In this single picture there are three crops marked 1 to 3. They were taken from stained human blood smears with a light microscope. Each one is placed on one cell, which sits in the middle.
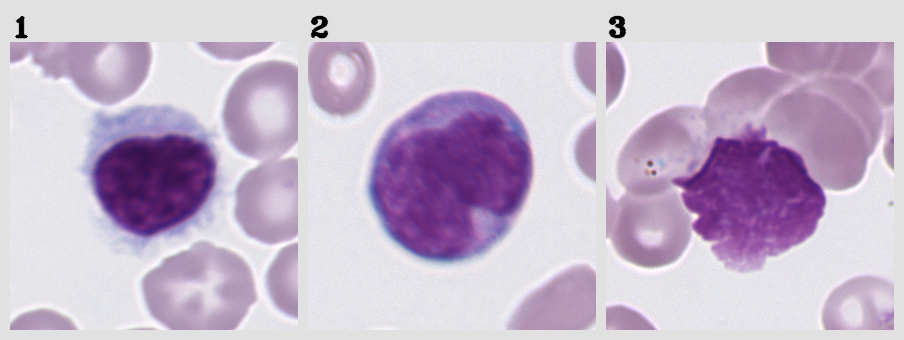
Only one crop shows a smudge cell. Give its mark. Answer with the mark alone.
3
